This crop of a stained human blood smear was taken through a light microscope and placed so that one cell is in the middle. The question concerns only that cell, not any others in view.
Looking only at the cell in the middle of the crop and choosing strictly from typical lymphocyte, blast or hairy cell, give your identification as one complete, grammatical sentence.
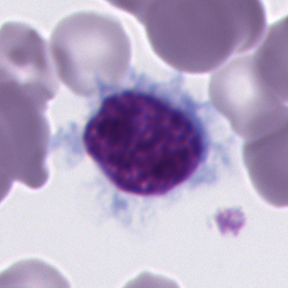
The crop centres on a single cell, and that cell is a hairy cell.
